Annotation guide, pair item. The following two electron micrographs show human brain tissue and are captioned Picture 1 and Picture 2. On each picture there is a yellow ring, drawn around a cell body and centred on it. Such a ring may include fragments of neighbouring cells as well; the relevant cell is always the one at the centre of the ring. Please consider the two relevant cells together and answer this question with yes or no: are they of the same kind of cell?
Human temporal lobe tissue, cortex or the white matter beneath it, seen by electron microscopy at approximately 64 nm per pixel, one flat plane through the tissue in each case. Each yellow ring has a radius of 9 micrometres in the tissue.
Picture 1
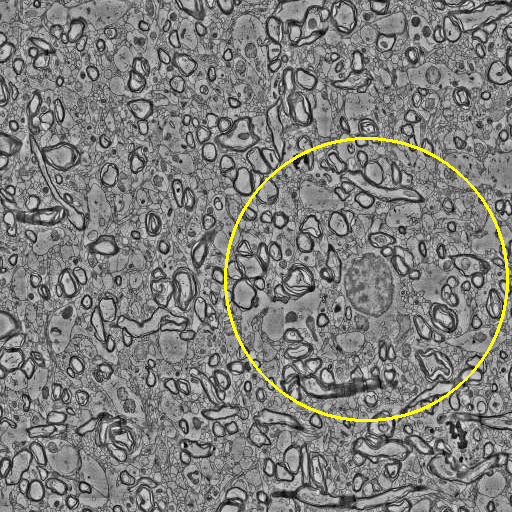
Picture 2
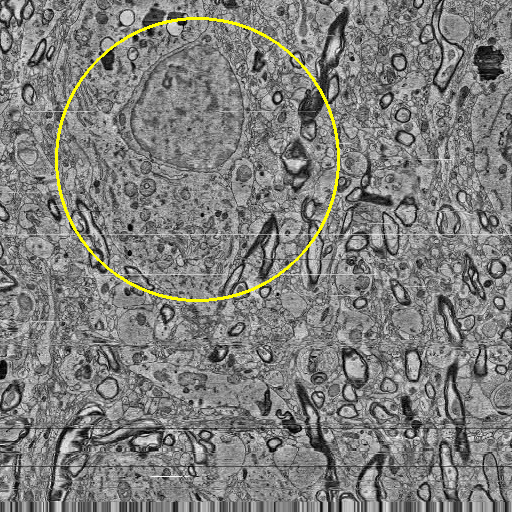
yes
